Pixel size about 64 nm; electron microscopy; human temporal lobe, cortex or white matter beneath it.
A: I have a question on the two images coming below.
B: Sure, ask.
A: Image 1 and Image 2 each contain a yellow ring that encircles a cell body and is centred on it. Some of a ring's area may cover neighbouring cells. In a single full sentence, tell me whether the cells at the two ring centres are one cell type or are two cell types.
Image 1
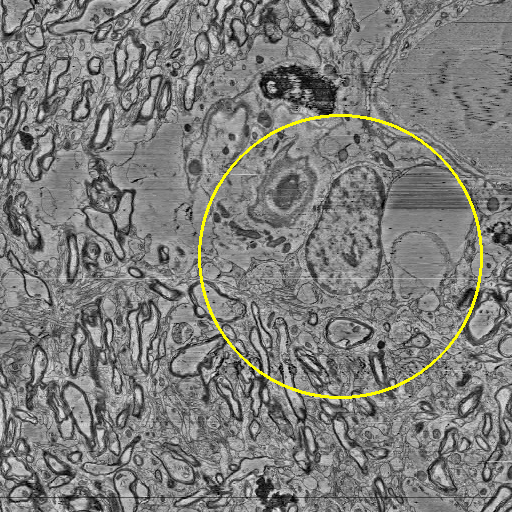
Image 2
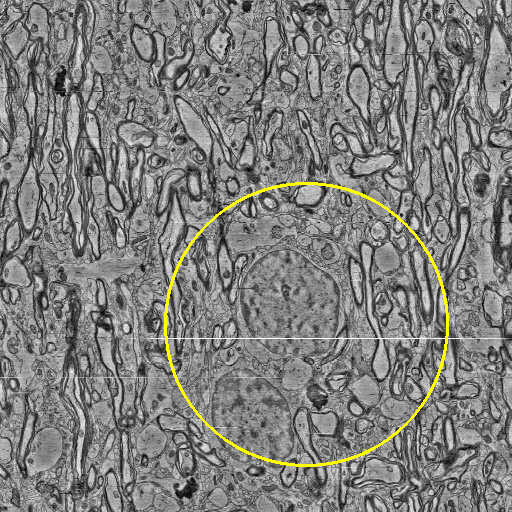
As for the ring-centre cells, the one in Image 1 and the one in Image 2 are one cell type.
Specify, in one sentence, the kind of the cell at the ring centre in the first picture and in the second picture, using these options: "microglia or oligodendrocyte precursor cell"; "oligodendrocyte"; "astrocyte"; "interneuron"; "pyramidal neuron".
In the first picture and in the second, the ring is centred on a microglial cell or oligodendrocyte precursor cell.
